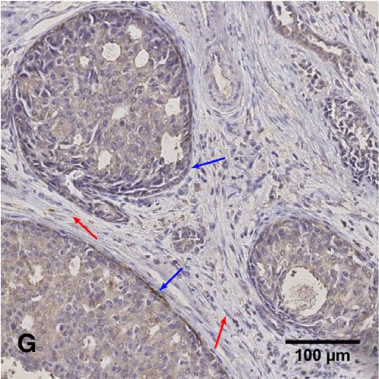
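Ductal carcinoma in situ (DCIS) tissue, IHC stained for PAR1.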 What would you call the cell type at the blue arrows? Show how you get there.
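The arrows point to flattened cells at the periphery of rounded epithelial nests. These cells separate the nests from the stroma. So: myoepithelial cells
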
